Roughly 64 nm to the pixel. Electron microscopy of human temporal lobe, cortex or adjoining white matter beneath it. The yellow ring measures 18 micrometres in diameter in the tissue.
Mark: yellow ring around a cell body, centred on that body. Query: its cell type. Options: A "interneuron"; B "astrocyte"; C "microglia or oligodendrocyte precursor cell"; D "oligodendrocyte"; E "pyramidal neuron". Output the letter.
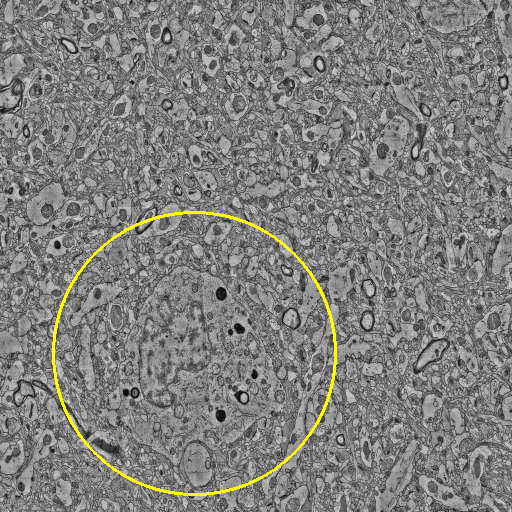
A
